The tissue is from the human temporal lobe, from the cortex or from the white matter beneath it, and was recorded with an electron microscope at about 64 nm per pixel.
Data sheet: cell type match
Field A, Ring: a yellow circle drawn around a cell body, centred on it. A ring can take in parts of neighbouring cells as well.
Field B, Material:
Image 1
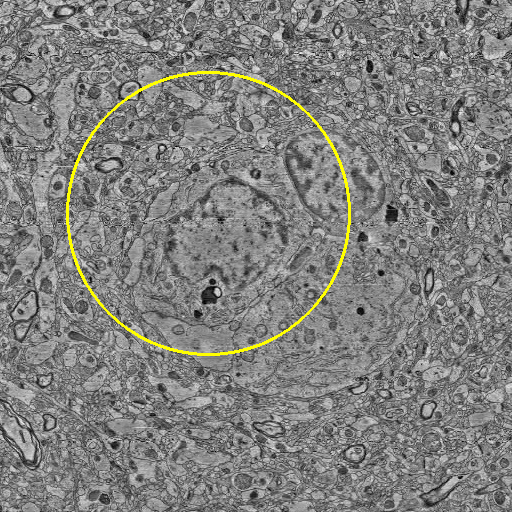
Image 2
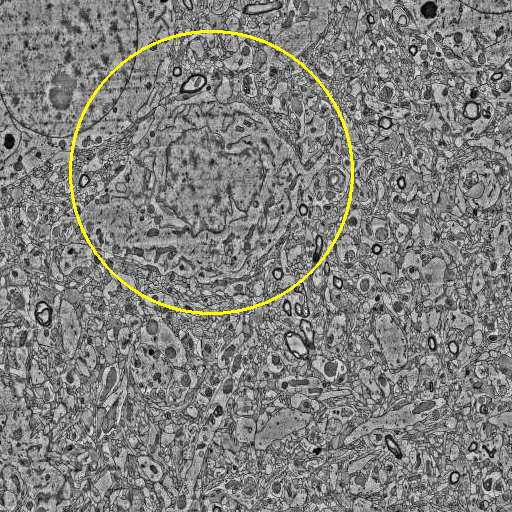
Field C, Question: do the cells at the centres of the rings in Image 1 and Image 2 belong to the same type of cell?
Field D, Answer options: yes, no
yes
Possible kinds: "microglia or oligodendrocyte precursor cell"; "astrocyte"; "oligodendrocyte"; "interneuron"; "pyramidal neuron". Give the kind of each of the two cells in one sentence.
Each of the two pictures has an interneuron at the ring centre.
